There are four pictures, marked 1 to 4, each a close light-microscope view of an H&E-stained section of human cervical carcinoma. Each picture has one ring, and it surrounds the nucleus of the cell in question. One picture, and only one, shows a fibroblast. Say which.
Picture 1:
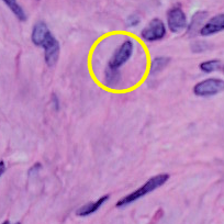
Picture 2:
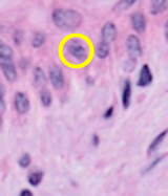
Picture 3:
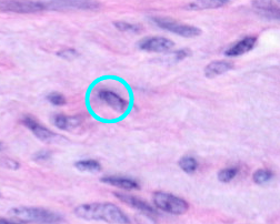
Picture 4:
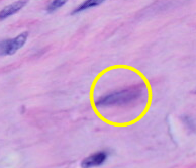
1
